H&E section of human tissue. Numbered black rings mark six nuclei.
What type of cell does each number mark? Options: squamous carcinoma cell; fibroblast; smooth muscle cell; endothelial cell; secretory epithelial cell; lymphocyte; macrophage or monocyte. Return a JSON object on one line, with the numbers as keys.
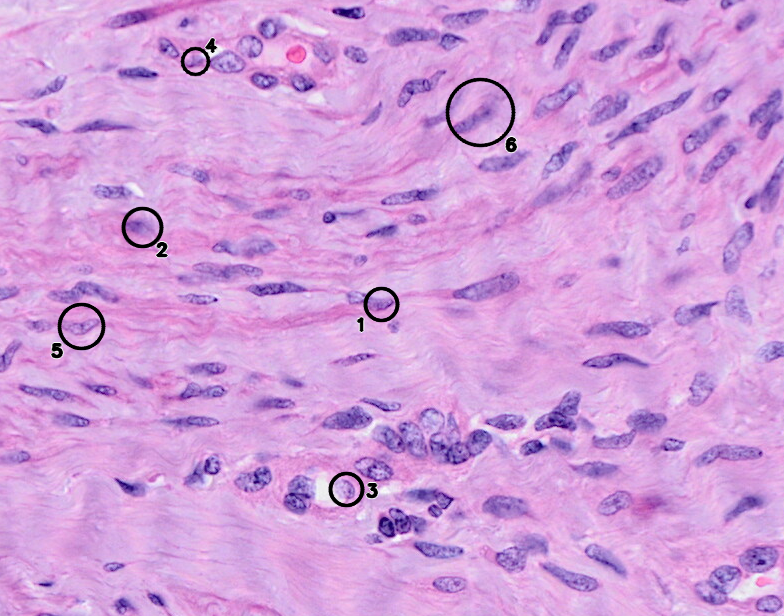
{"1": "smooth muscle cell", "2": "smooth muscle cell", "3": "endothelial cell", "4": "endothelial cell", "5": "smooth muscle cell", "6": "smooth muscle cell"}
